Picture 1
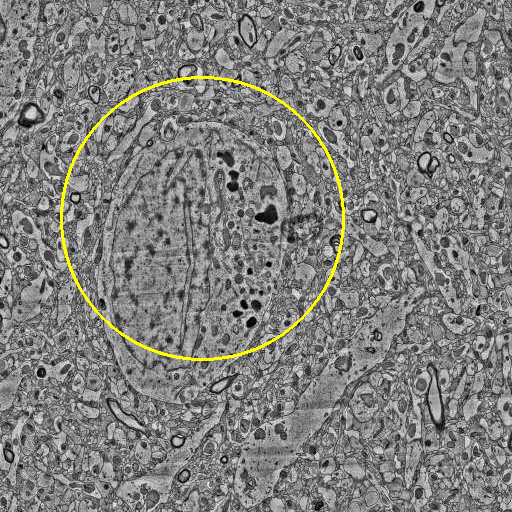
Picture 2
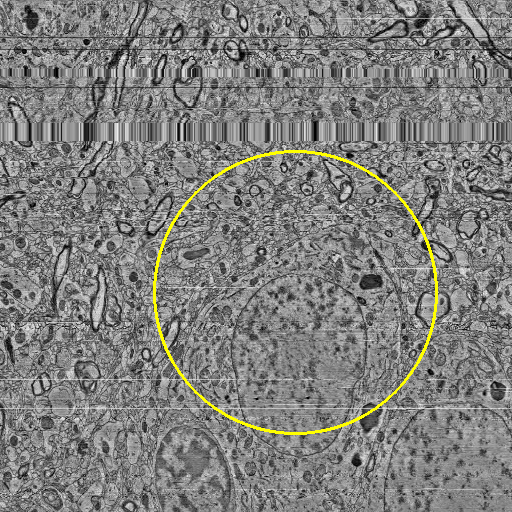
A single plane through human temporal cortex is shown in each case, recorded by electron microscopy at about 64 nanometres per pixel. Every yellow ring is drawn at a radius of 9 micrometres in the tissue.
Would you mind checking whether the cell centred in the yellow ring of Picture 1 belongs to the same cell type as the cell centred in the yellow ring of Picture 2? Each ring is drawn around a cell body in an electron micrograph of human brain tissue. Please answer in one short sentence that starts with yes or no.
Yes, both cells are of the same type.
